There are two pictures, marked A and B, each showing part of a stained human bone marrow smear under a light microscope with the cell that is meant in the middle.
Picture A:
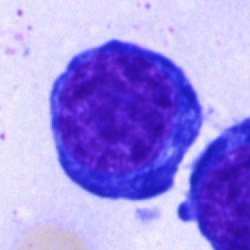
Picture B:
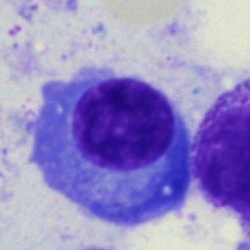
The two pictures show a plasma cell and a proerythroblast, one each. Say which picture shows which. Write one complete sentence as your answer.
Picture A is of a proerythroblast, and picture B is of a plasma cell.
